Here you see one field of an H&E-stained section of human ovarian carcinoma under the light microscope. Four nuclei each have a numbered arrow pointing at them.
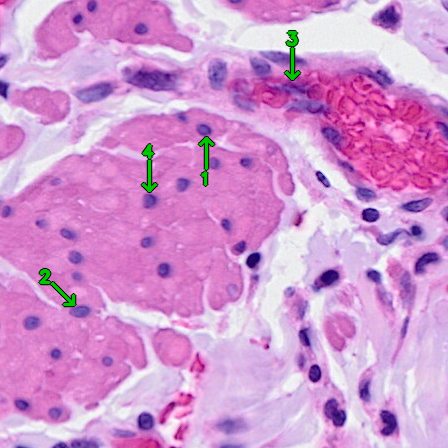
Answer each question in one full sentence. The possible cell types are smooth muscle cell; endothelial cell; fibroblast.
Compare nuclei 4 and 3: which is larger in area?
Of the two, number 3 is bigger and takes up about 4 times the area of number 4.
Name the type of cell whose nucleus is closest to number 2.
Closest to number 2 lies the nucleus of a smooth muscle cell.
